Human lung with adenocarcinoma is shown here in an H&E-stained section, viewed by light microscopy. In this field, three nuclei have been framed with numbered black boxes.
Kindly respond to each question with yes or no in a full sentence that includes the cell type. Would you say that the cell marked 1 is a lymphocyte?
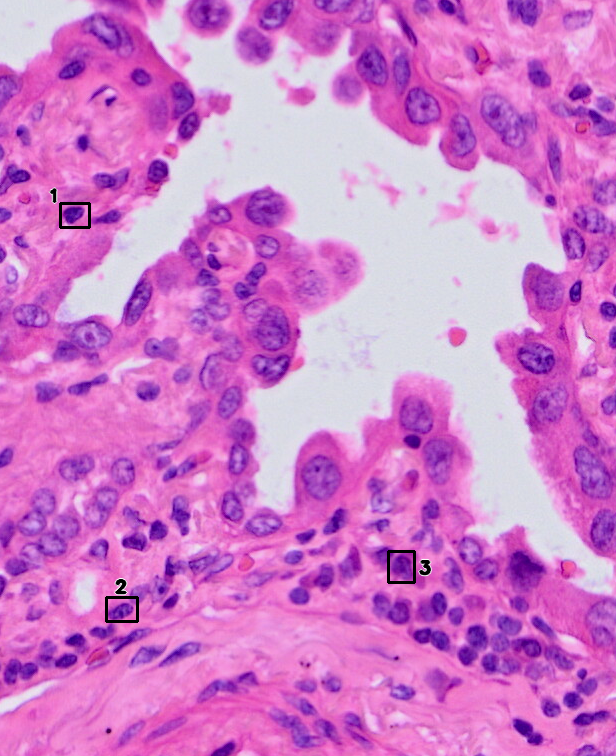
Yes, the cell to which number 1 refers is a lymphocyte.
